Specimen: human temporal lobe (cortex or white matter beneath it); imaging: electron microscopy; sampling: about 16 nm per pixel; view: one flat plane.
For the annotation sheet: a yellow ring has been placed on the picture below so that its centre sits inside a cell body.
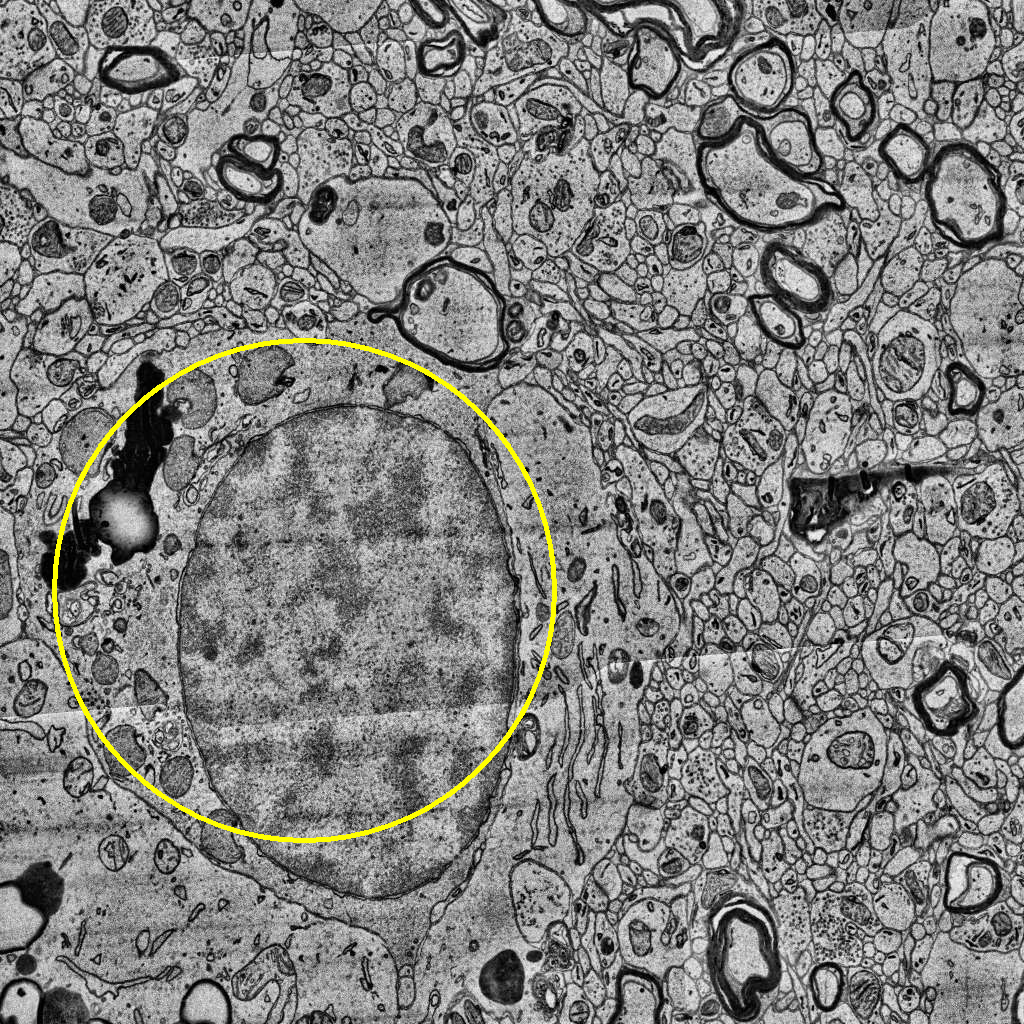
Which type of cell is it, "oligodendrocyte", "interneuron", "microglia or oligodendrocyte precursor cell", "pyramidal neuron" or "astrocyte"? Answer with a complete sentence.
The cell at the ring's centre is an oligodendrocyte.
